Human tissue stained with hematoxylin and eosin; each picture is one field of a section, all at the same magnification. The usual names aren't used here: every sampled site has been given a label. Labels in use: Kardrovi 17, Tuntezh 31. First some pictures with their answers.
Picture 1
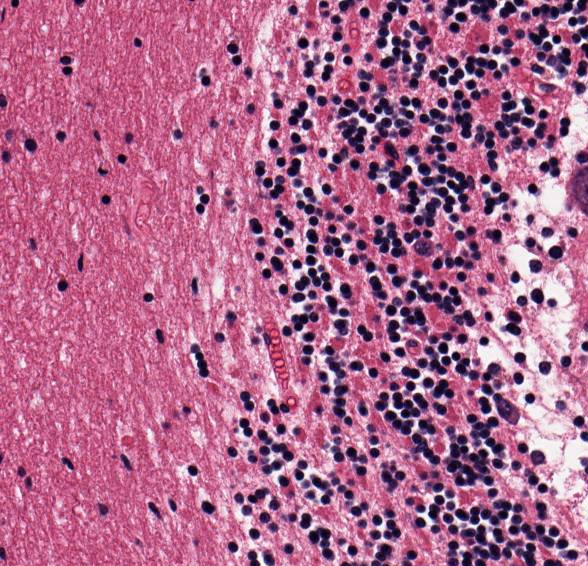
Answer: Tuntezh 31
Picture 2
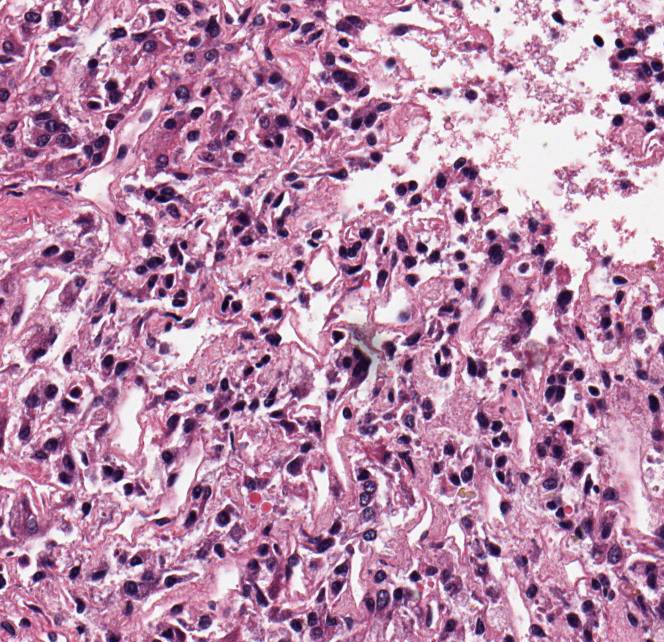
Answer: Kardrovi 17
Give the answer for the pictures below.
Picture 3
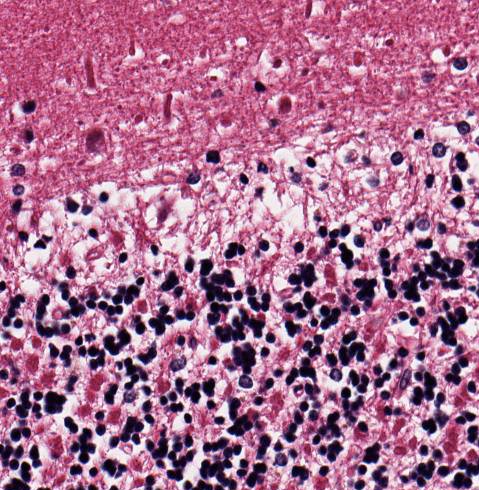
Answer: Tuntezh 31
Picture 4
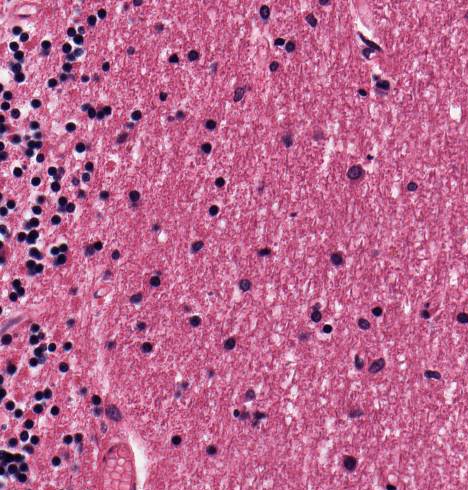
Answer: Tuntezh 31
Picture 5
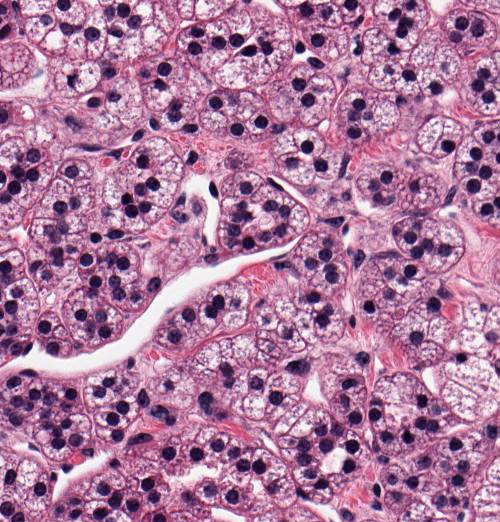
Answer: Kardrovi 17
